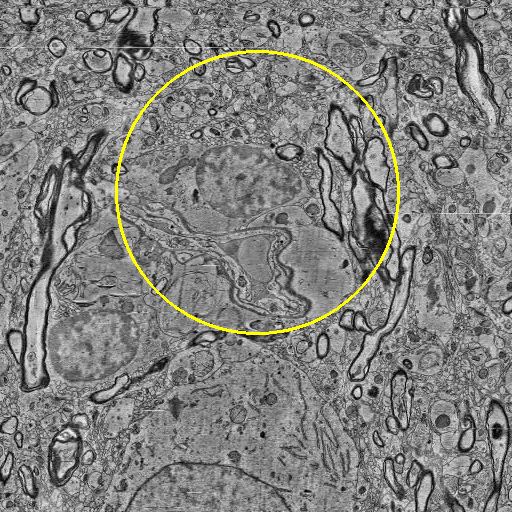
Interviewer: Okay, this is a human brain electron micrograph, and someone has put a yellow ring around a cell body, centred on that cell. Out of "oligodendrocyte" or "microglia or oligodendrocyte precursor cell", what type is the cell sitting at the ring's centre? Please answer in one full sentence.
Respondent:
The cell at the centre of the yellow ring in this picture is an oligodendrocyte.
